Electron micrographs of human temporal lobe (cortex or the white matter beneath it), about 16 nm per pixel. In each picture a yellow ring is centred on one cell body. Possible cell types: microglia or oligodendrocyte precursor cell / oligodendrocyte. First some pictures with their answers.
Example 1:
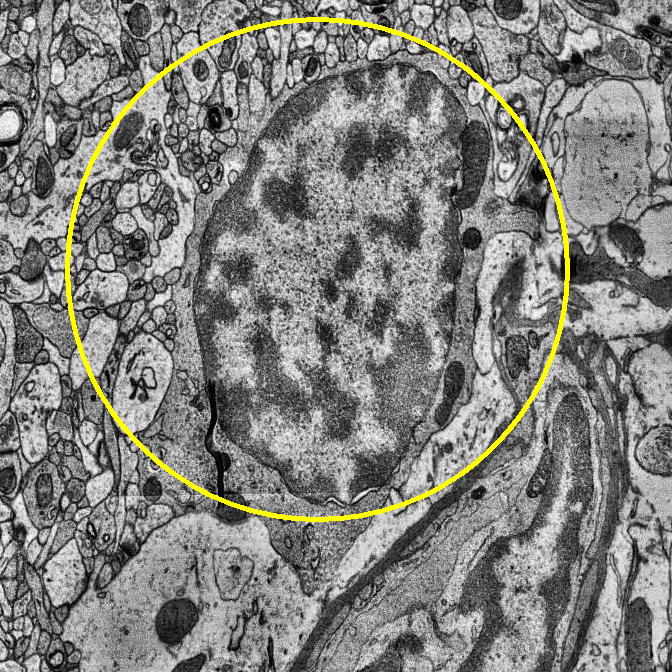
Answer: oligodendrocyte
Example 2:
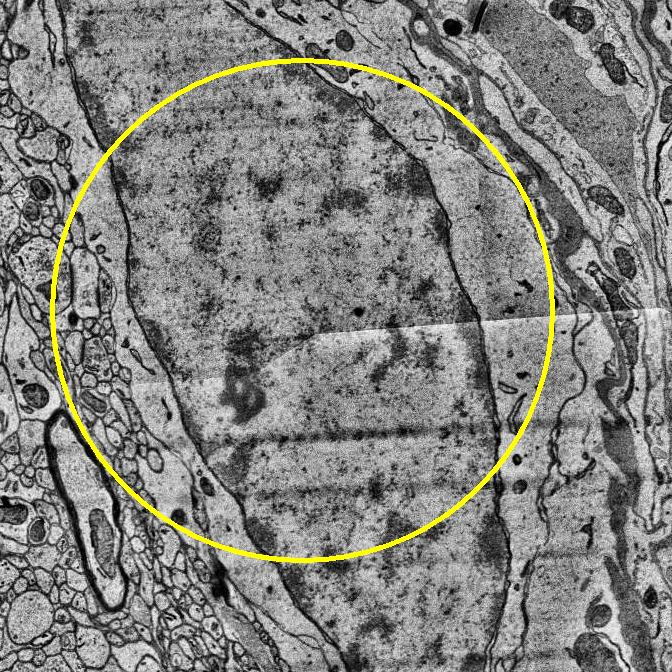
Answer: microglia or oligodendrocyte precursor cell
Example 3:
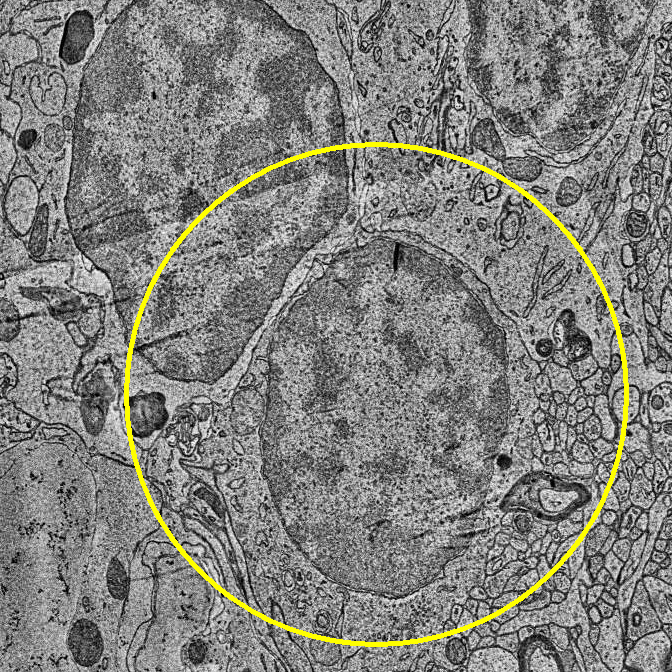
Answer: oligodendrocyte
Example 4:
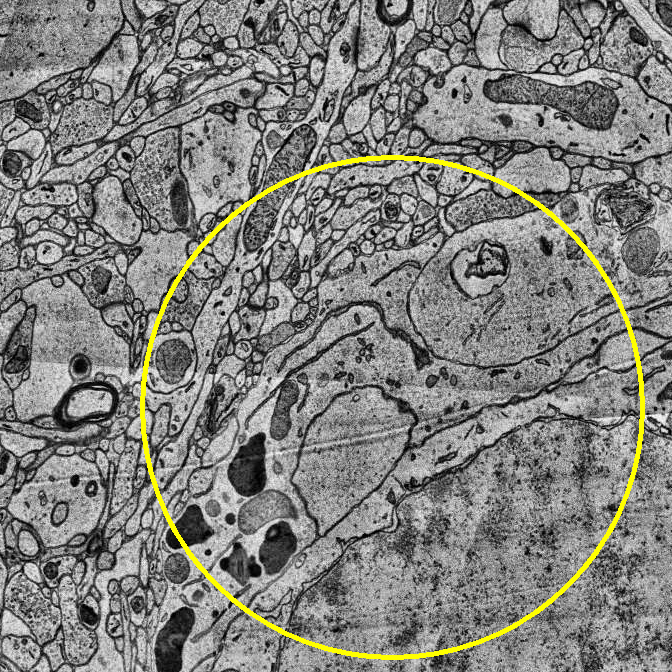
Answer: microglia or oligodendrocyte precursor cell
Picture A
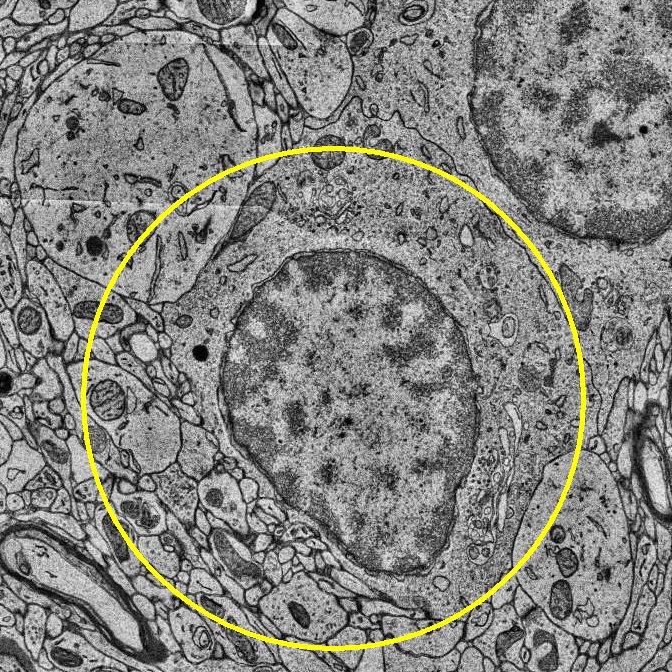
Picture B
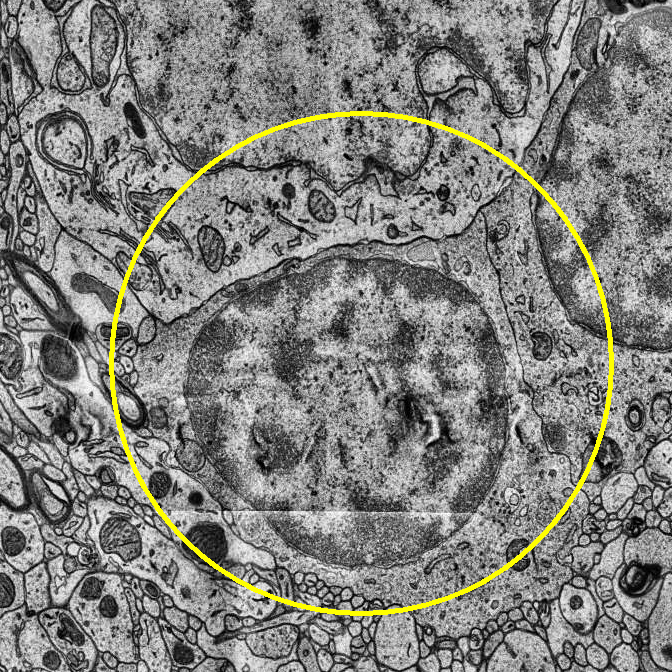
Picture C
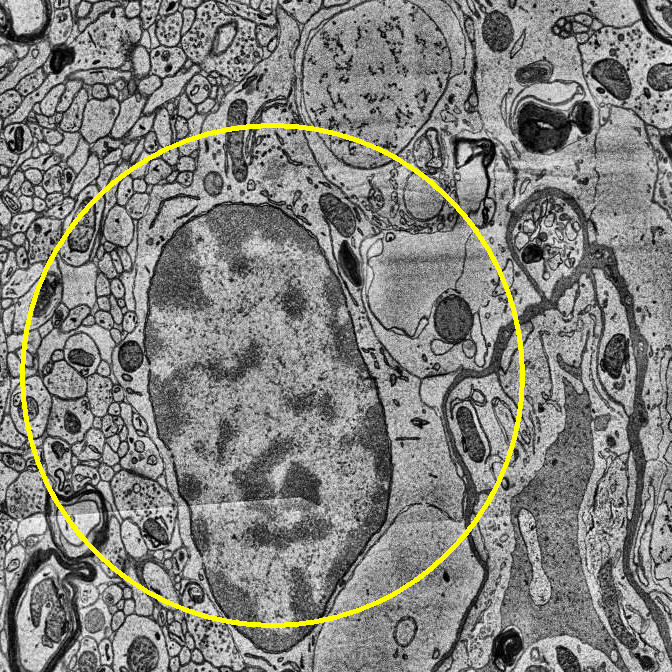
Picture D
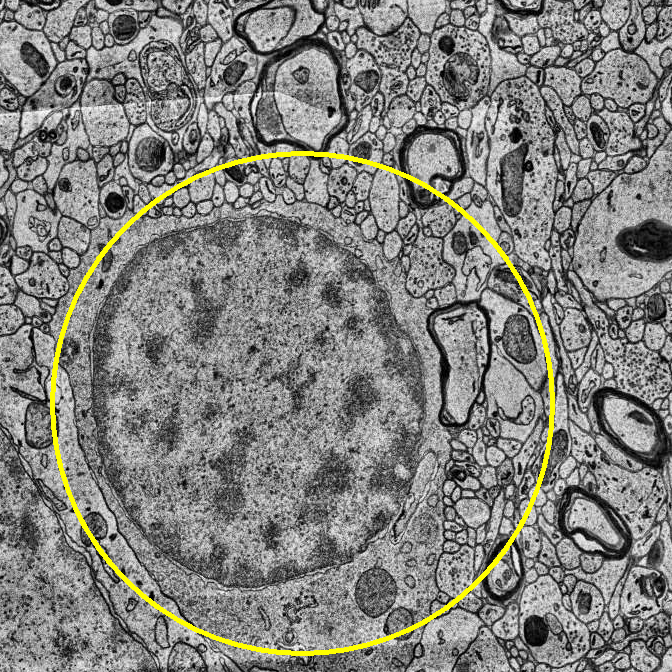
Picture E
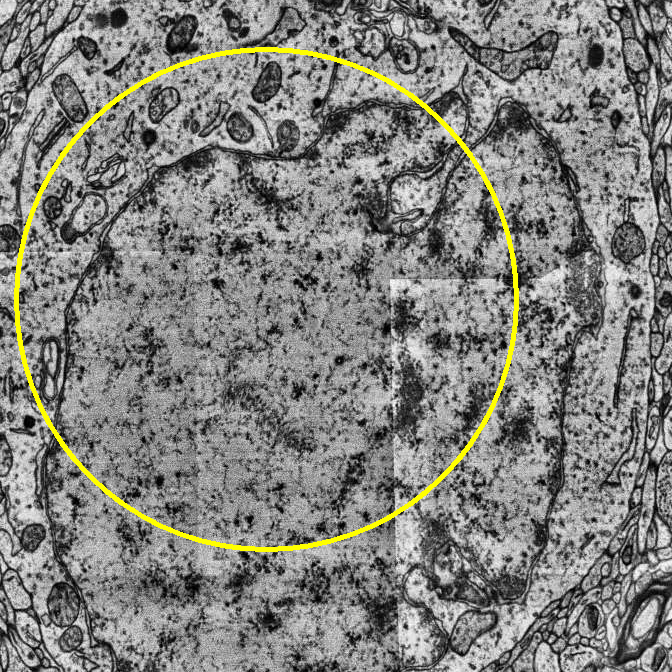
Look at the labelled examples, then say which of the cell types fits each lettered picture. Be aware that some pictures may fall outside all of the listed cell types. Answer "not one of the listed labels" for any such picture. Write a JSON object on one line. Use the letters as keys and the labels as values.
{"A": "oligodendrocyte", "B": "oligodendrocyte", "C": "microglia or oligodendrocyte precursor cell", "D": "oligodendrocyte", "E": "not one of the listed labels"}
